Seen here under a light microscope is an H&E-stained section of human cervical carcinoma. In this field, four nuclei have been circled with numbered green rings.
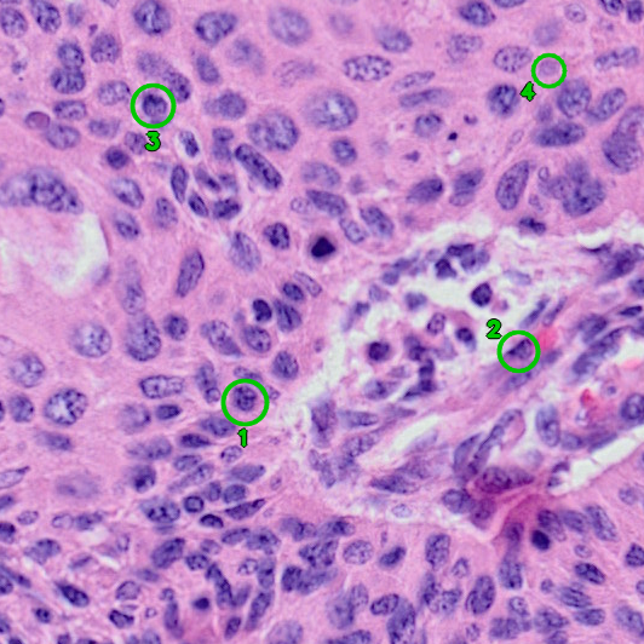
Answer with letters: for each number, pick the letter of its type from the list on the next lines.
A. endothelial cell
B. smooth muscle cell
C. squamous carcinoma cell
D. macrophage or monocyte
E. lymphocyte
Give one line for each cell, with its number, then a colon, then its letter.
1: C
2: A
3: C
4: C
